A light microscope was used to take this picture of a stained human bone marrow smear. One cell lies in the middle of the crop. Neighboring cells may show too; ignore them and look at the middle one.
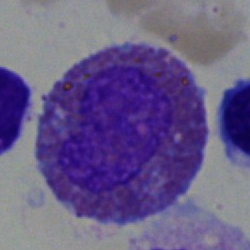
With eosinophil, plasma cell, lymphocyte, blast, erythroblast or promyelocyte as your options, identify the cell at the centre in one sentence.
Located at the centre of the crop is an eosinophil.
